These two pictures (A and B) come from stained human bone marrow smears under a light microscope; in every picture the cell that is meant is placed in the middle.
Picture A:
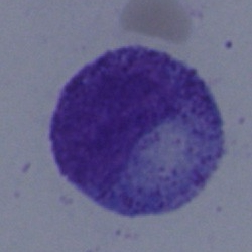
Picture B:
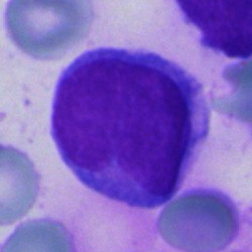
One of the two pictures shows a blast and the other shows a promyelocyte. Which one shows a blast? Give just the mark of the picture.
B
